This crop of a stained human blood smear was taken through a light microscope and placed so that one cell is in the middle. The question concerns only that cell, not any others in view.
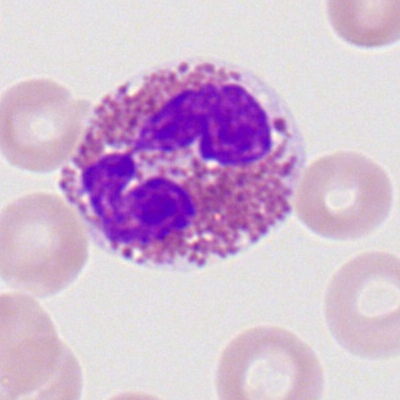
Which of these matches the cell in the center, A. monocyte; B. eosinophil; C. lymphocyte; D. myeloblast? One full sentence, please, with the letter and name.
The correct choice is option B, which identifies the middle cell as an eosinophil.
